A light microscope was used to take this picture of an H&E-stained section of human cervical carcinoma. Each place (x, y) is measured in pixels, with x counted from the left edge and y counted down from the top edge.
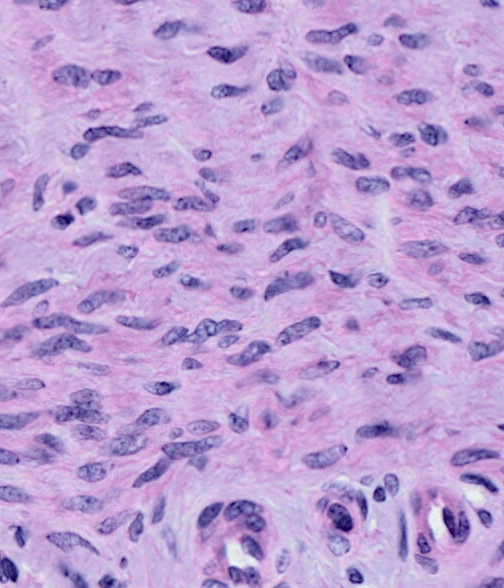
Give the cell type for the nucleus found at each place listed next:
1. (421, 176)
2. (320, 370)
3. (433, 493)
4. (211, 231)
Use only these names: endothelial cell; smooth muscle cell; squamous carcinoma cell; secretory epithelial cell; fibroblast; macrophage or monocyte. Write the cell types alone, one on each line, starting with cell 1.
smooth muscle cell
smooth muscle cell
endothelial cell
smooth muscle cell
